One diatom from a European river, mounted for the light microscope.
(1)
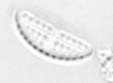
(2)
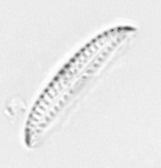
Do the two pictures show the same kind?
Yes, both are Amphora.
